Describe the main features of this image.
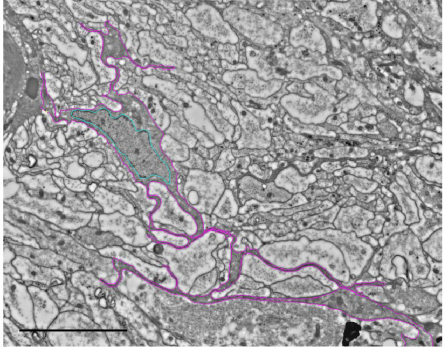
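This electron micrograph shows a putative glial cell lying in the neuropil, a field packed with many small, pale, rounded and irregular profiles of axons. The glial cell is traced by a magenta line. Its body is narrow, and thin processes extend from it to wind between the surrounding axon profiles, running mostly toward the lower right. Its cytoplasm is darker, more electron dense, than the pale interior of the nearby axons. Inside the cell lies an elongated nucleus outlined in cyan. A few dark granules are scattered in the surrounding field.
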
